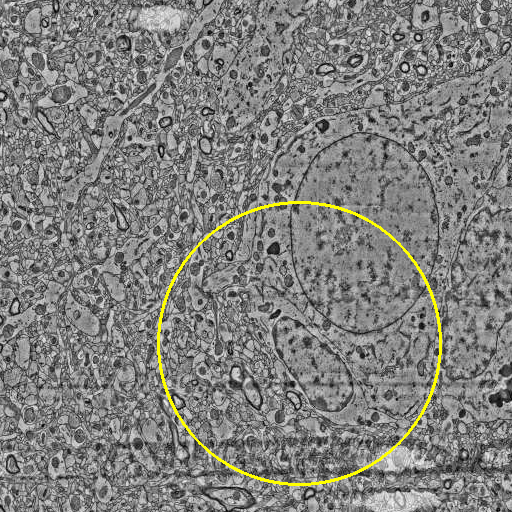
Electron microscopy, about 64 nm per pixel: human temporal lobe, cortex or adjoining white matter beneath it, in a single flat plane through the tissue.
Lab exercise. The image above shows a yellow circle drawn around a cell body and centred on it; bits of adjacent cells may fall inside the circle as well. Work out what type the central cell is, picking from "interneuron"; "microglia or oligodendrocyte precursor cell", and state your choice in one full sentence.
In the image above, the cell at the centre of the yellow circle is a microglial cell or oligodendrocyte precursor cell.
